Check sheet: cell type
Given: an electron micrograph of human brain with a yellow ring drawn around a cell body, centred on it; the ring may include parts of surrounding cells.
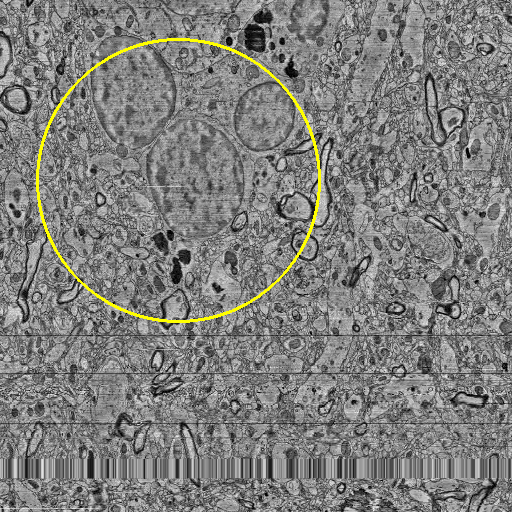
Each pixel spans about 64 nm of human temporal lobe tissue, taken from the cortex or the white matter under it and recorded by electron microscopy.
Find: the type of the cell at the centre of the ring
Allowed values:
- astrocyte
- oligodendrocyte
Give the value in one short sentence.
Here the ringed cell is an oligodendrocyte.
